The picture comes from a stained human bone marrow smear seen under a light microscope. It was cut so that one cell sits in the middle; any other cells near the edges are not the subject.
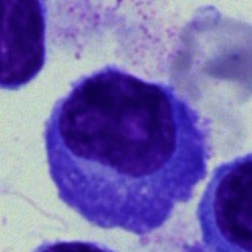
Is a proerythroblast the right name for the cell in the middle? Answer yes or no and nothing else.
no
